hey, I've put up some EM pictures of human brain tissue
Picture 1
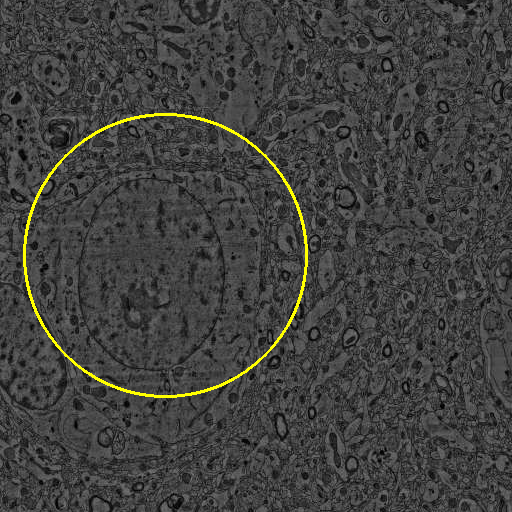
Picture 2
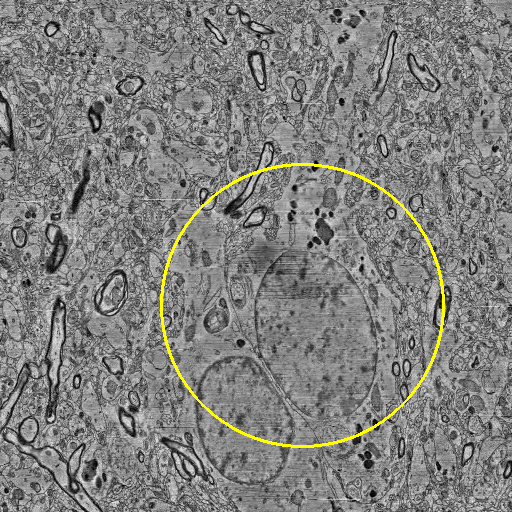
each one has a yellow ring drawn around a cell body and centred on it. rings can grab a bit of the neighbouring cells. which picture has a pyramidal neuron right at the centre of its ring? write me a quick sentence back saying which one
It's Picture 1.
